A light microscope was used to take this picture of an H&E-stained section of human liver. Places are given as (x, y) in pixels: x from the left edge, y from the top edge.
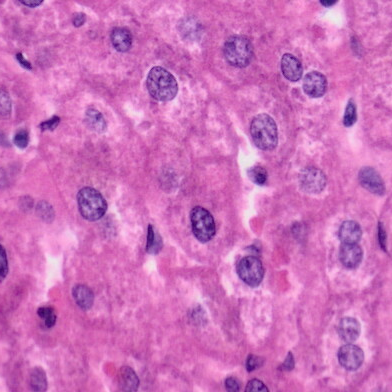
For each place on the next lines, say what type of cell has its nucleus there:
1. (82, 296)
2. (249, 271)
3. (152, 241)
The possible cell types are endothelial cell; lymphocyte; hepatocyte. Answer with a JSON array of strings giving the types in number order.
["hepatocyte", "hepatocyte", "endothelial cell"]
